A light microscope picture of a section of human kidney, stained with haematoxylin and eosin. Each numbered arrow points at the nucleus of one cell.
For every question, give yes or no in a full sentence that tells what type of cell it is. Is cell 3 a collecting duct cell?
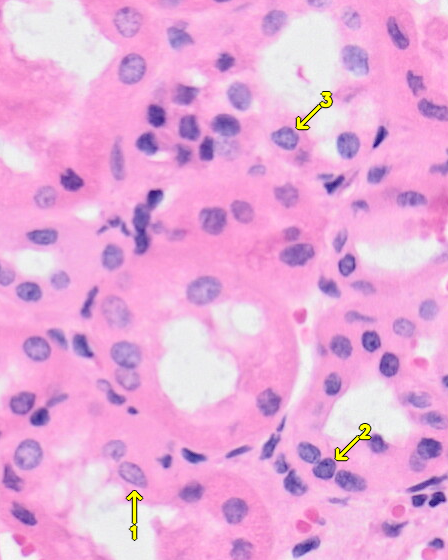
Yes, the cell labelled with number 3 is a collecting duct cell.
